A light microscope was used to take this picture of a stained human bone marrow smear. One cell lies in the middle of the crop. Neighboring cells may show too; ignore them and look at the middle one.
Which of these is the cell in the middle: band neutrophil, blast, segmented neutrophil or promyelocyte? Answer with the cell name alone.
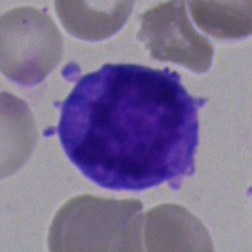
promyelocyte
